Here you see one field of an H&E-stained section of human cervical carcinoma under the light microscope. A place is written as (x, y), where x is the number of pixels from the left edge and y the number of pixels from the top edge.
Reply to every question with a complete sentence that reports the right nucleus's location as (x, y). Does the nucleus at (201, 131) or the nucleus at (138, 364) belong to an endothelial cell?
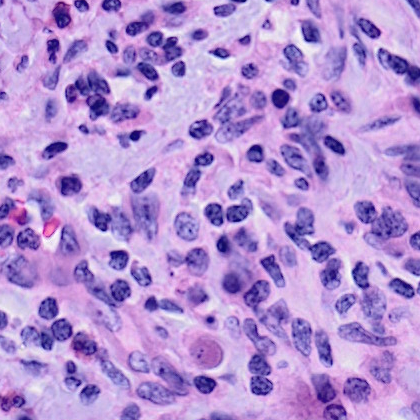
The nucleus at (138, 364) is housed in an endothelial cell.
